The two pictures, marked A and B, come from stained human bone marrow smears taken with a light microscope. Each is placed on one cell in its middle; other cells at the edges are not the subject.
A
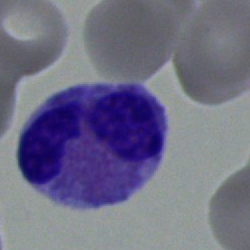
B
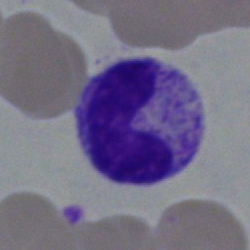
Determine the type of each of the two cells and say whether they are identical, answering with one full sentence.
No, crop A is to be identified as an eosinophil and crop B as a band neutrophil.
